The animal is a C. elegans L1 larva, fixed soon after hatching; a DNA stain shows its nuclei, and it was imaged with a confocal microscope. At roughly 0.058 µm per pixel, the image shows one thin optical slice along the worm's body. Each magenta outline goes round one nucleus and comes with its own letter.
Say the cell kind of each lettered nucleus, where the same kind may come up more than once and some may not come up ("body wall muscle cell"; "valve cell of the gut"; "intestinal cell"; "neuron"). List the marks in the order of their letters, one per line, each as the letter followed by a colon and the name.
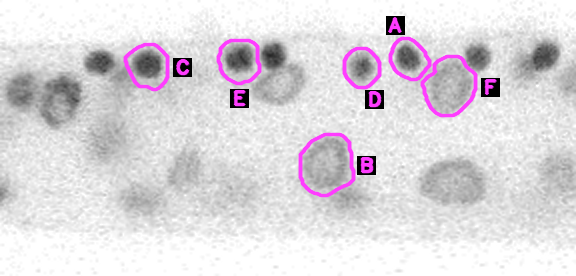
A: neuron
B: intestinal cell
C: neuron
D: body wall muscle cell
E: neuron
F: intestinal cell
